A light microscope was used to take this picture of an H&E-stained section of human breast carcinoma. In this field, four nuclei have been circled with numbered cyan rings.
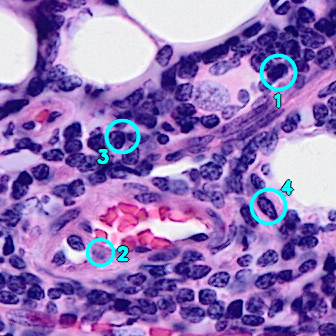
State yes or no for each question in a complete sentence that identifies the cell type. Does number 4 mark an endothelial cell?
No, it is not an endothelial cell that bears number 4 but a lymphocyte.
